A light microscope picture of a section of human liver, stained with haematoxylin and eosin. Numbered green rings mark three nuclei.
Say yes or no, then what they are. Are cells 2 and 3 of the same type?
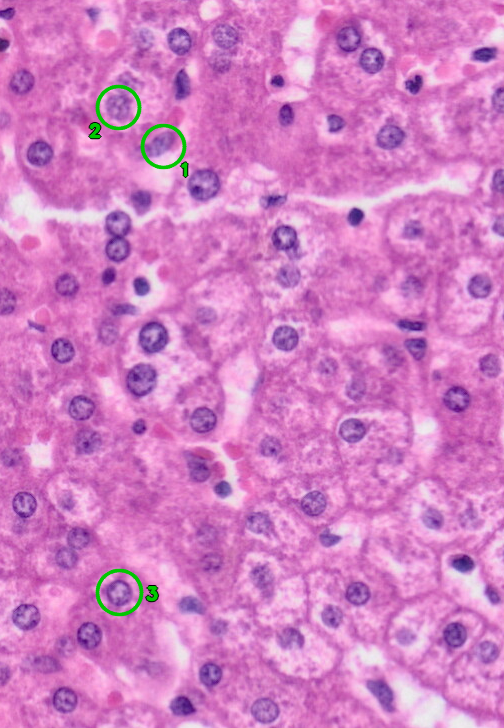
Yes, cell 2 is counted among the hepatocytes, as is cell 3.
